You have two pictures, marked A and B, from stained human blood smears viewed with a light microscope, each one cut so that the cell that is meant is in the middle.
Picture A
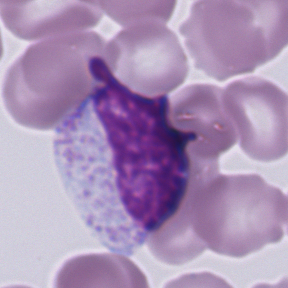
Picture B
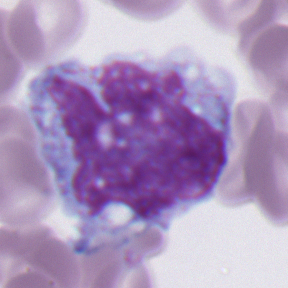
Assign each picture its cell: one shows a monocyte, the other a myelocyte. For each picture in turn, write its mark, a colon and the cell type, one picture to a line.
A: myelocyte
B: monocyte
